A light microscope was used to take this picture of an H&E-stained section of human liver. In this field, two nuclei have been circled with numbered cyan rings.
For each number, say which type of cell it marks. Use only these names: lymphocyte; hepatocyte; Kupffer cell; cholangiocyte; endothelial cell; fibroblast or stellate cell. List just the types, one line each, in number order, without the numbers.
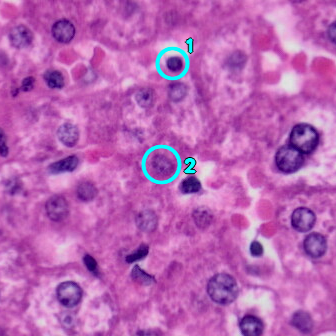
lymphocyte
hepatocyte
